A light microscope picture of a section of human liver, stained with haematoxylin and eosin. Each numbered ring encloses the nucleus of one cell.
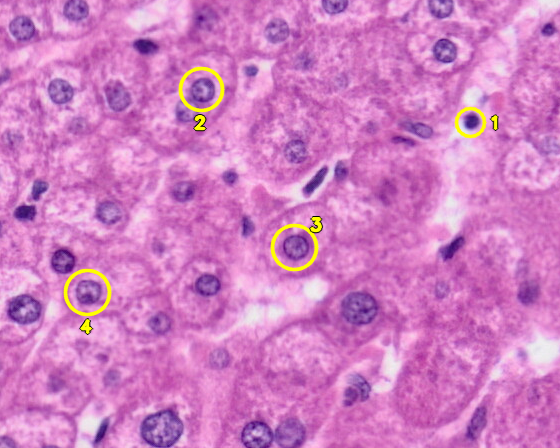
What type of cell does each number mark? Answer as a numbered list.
1. lymphocyte
2. hepatocyte
3. hepatocyte
4. hepatocyte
